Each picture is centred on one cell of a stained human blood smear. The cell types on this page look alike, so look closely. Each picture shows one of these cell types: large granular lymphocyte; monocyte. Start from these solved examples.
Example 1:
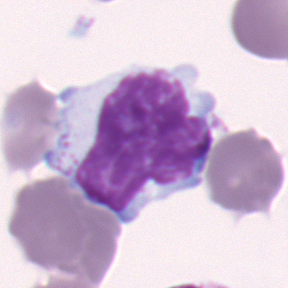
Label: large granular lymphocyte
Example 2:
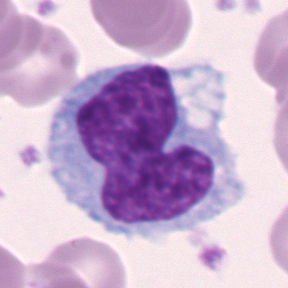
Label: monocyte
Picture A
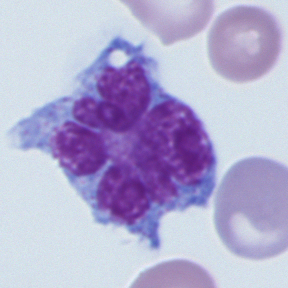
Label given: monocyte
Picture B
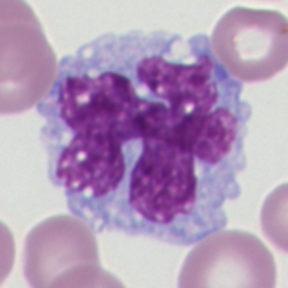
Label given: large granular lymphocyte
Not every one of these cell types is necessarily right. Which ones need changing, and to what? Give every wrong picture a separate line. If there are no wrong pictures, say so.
B should be monocyte, not large granular lymphocyte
